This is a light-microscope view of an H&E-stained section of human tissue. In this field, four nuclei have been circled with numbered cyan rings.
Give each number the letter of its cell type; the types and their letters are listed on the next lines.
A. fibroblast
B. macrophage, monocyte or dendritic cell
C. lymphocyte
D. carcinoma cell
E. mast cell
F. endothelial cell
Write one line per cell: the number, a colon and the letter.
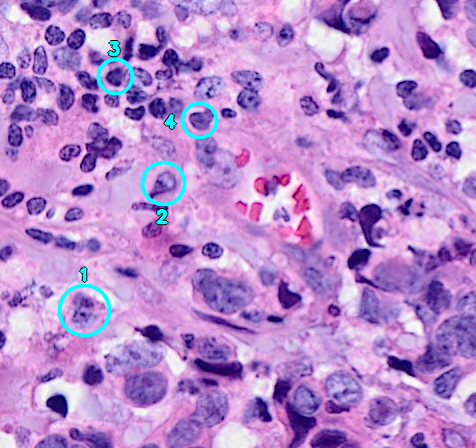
1: B
2: B
3: C
4: C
